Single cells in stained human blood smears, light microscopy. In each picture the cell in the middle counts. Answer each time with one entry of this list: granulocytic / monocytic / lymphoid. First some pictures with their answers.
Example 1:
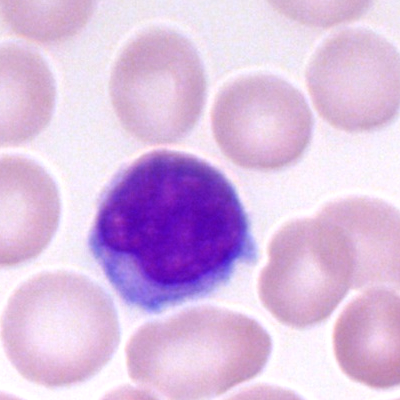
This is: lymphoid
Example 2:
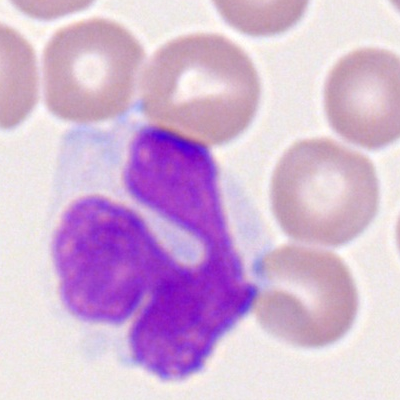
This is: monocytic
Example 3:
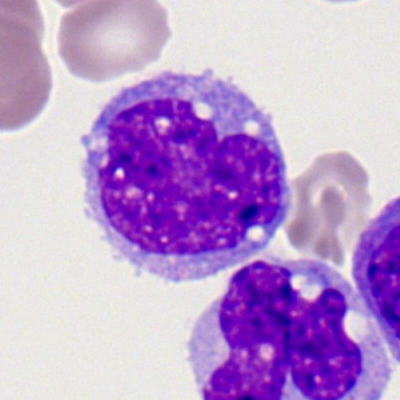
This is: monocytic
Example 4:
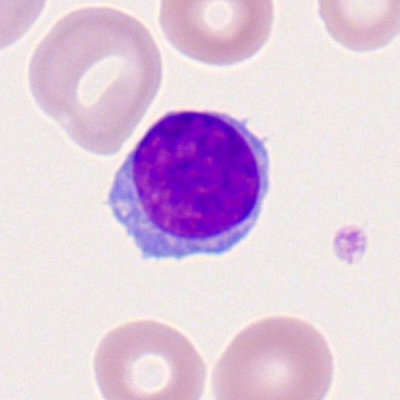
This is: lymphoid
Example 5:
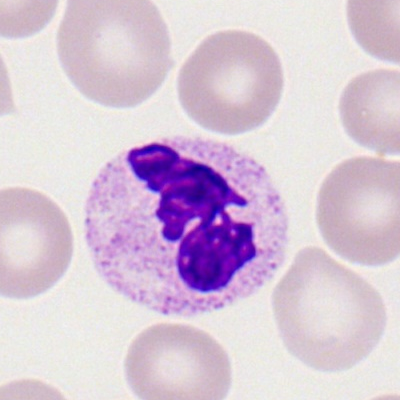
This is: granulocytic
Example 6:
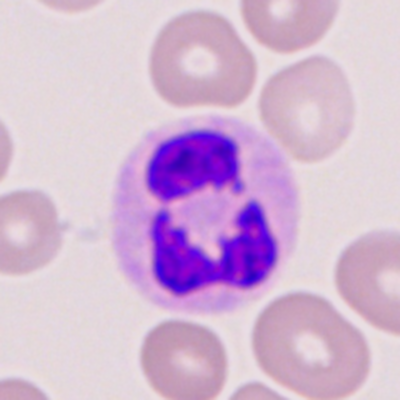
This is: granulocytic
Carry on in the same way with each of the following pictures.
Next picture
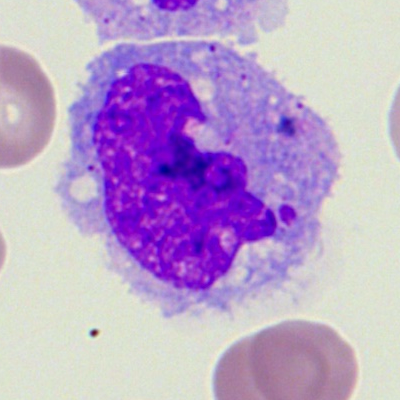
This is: monocytic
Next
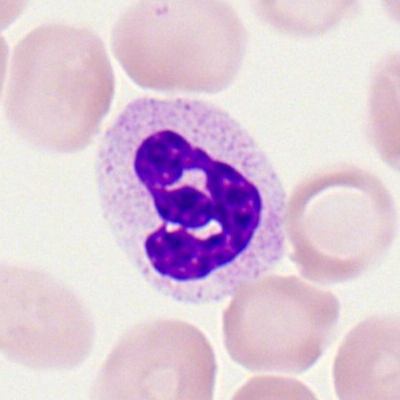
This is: granulocytic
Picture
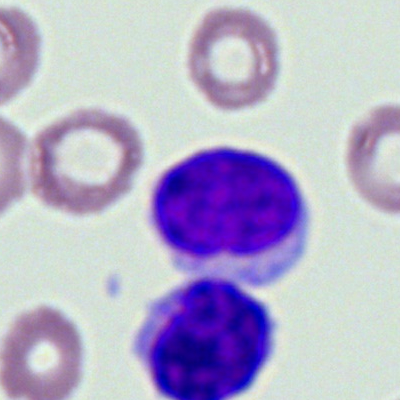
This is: lymphoid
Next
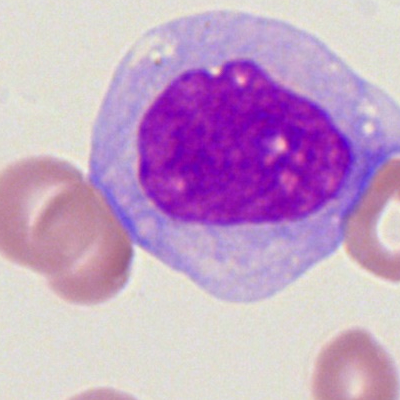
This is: monocytic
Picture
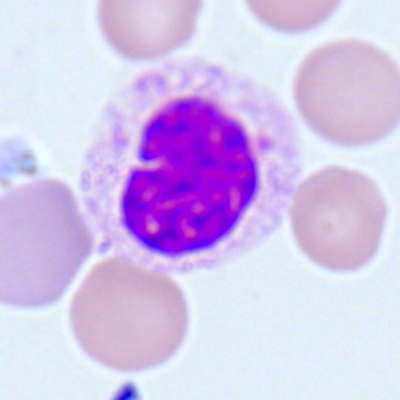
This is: granulocytic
